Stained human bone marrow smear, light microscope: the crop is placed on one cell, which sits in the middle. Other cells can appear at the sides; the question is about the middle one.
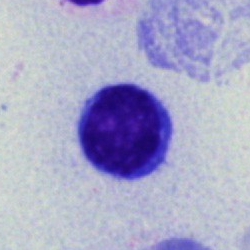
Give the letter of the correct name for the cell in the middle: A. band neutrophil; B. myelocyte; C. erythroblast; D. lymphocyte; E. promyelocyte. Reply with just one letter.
D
